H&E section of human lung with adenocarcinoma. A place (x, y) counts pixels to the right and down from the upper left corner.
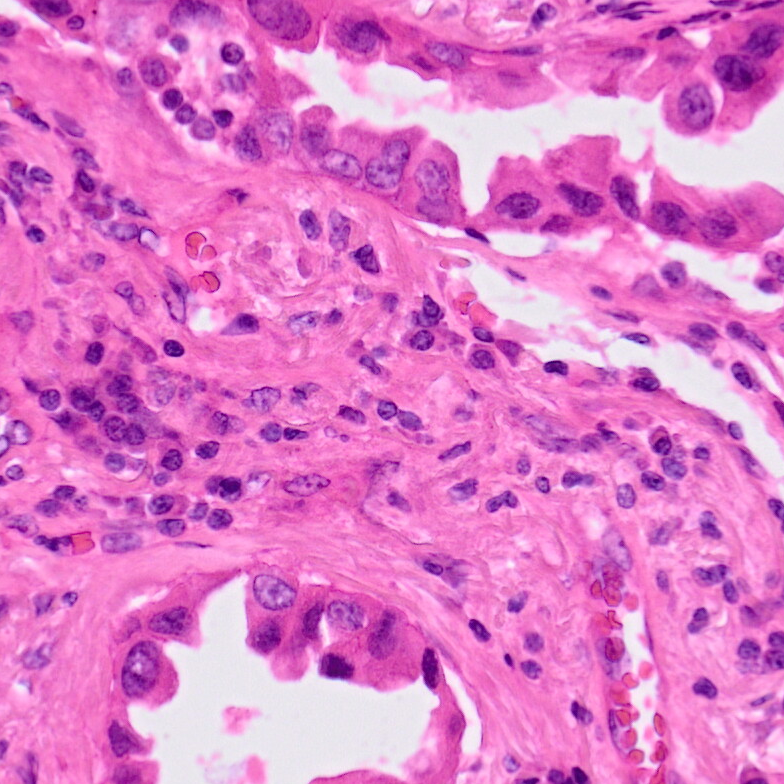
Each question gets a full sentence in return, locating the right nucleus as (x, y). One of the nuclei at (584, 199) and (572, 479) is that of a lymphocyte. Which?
Of these two nuclei, it is the one at (572, 479) that belongs to a lymphocyte.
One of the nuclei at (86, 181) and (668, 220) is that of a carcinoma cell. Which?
The correct choice is the nucleus at (668, 220), which belongs to a carcinoma cell.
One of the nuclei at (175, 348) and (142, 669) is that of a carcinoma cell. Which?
So, of the two, the nucleus at (142, 669) is the one belonging to a carcinoma cell.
